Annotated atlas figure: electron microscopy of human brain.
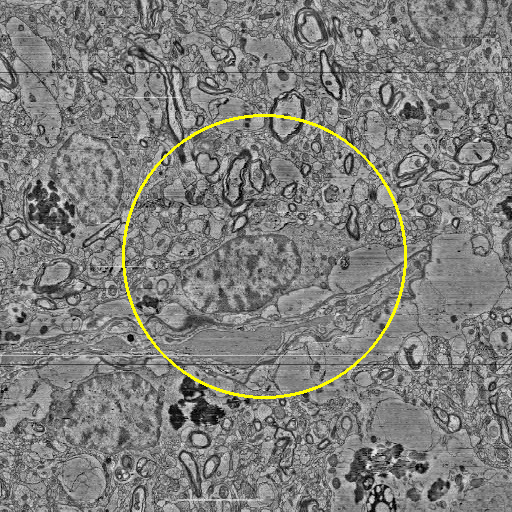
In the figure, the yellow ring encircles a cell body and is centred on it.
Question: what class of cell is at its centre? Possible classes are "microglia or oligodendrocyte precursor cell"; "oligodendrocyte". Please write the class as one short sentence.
The yellow ring is drawn around an oligodendrocyte.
